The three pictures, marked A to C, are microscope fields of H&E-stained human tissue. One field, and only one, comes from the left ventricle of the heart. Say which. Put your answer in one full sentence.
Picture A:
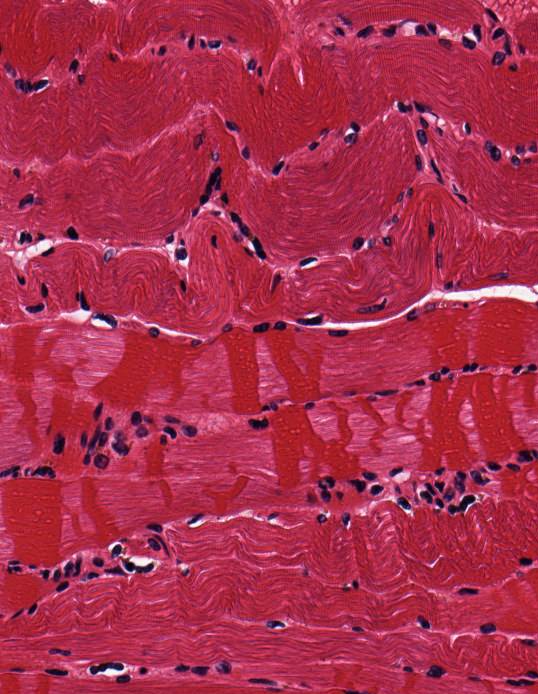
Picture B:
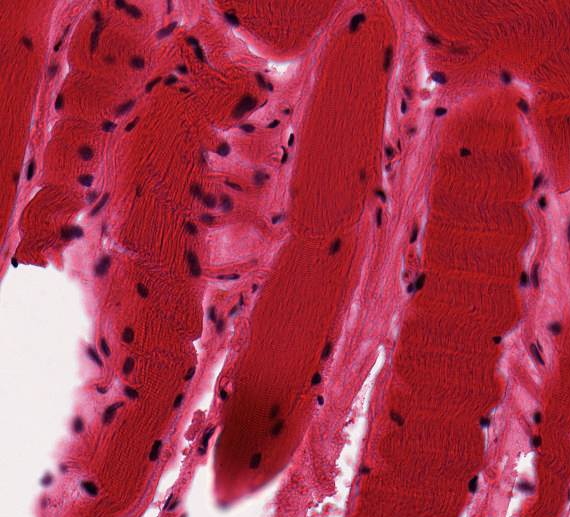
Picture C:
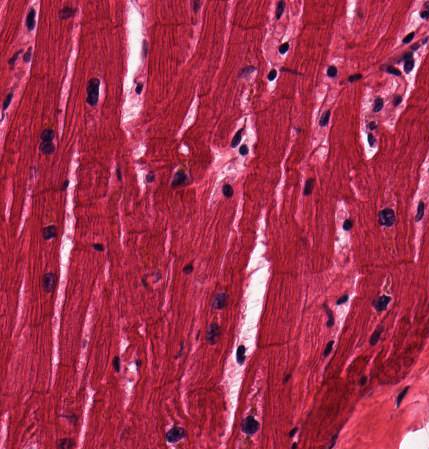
Picture C comes from the left ventricle of the heart.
